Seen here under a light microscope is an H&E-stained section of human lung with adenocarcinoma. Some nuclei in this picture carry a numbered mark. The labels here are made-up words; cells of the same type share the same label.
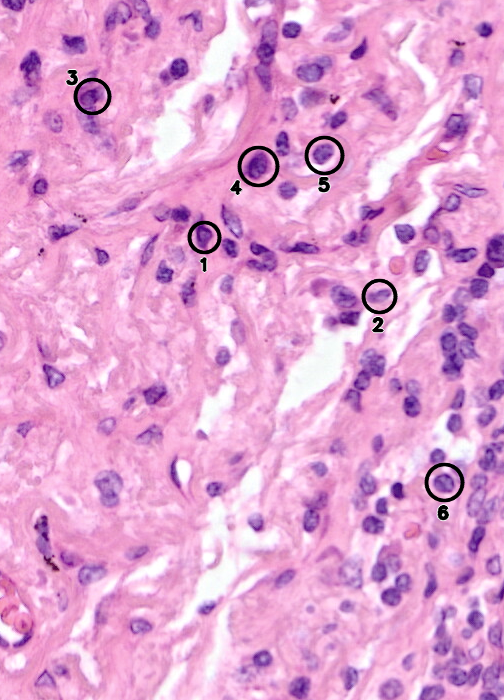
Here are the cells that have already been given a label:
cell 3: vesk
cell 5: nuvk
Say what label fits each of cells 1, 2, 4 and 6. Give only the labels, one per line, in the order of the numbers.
vesk
nuvk
vesk
nuvk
